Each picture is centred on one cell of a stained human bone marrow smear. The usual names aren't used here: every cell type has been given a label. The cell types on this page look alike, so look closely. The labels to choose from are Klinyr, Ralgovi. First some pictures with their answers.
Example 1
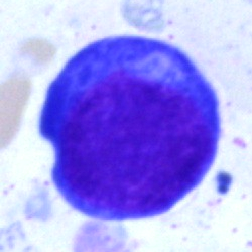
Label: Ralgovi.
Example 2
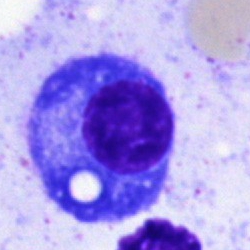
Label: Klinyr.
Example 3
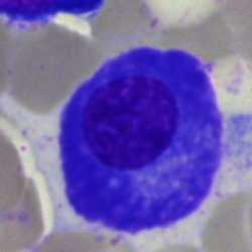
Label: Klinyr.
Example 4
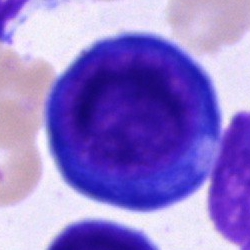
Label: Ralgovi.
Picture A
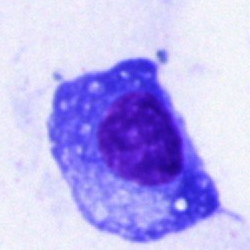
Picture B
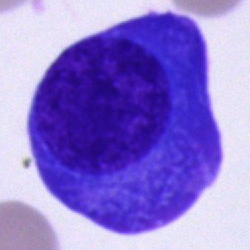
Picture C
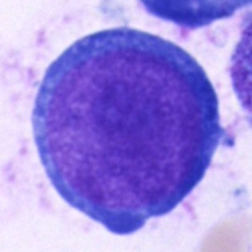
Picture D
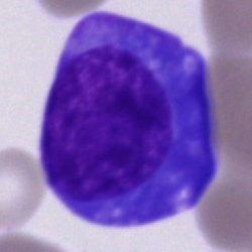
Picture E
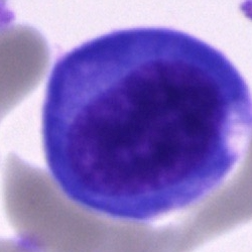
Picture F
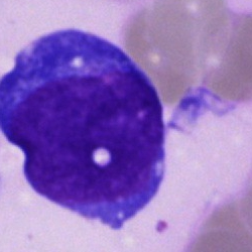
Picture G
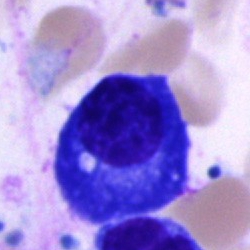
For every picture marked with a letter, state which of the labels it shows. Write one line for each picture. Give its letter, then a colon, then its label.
A: Klinyr.
B: Klinyr.
C: Ralgovi.
D: Klinyr.
E: Klinyr.
F: Ralgovi.
G: Klinyr.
